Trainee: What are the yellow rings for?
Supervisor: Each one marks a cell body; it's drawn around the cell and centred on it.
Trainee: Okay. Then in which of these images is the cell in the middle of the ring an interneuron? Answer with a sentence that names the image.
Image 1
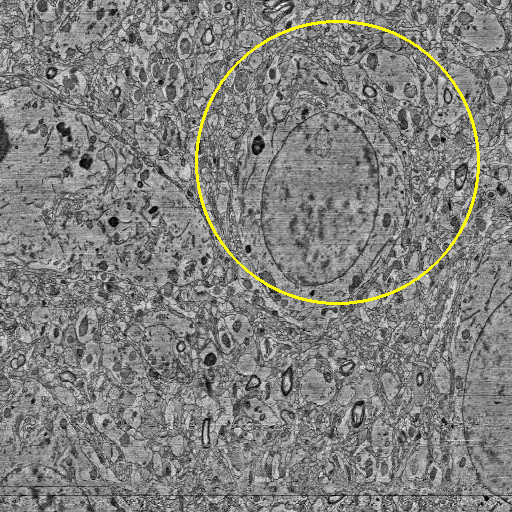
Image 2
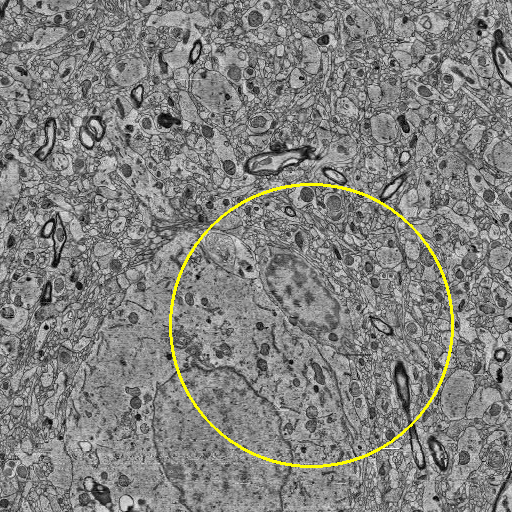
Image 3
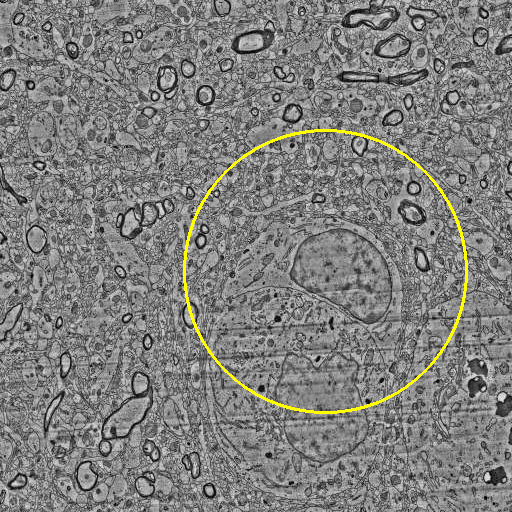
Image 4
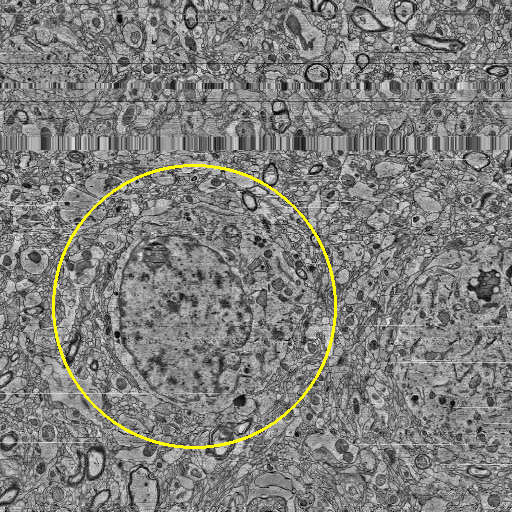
Image 4 has it in the middle of the ring.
